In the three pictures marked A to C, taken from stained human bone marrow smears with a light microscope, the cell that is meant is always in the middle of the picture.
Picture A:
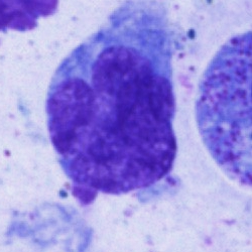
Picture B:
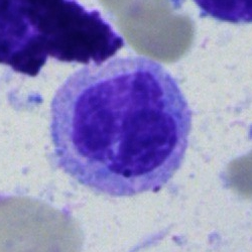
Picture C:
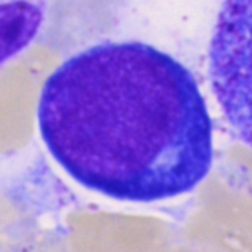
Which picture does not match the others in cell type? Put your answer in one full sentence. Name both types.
Unlike the rest, which show monocytes, picture C shows a proerythroblast.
